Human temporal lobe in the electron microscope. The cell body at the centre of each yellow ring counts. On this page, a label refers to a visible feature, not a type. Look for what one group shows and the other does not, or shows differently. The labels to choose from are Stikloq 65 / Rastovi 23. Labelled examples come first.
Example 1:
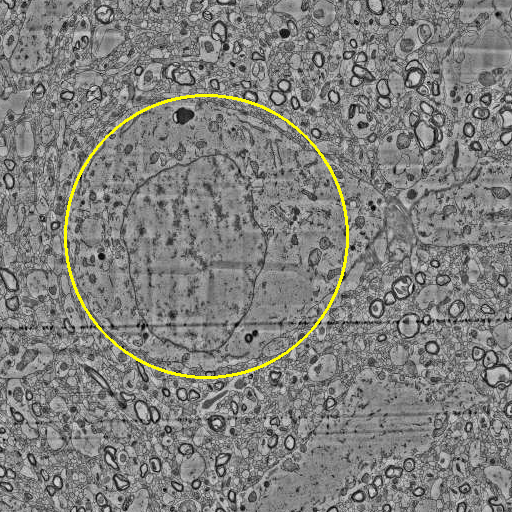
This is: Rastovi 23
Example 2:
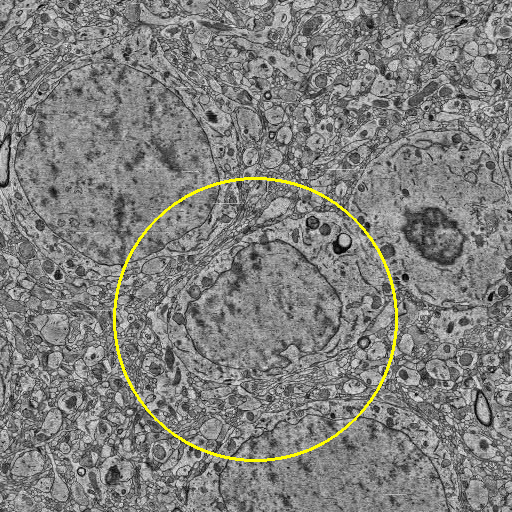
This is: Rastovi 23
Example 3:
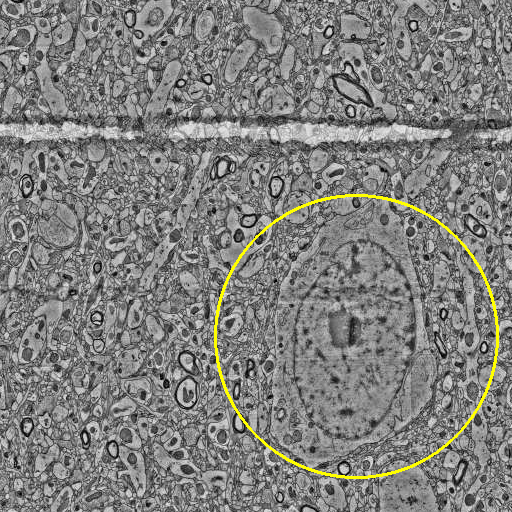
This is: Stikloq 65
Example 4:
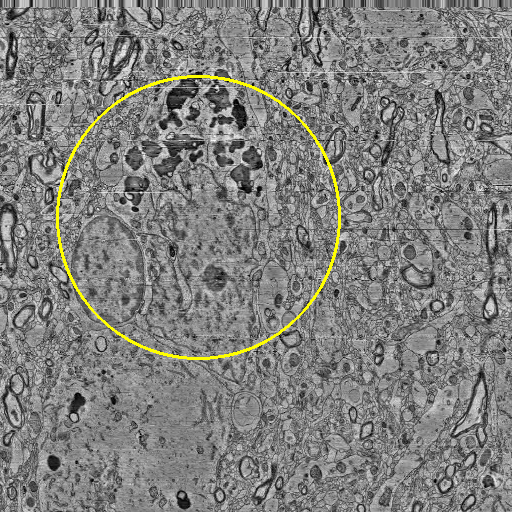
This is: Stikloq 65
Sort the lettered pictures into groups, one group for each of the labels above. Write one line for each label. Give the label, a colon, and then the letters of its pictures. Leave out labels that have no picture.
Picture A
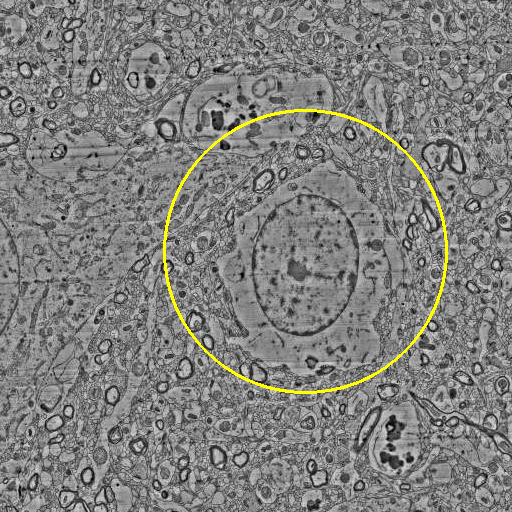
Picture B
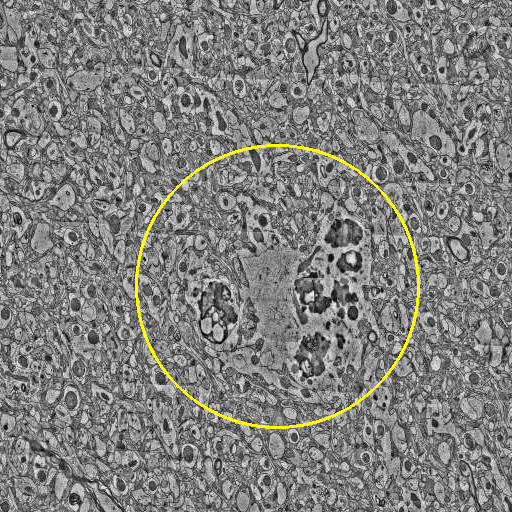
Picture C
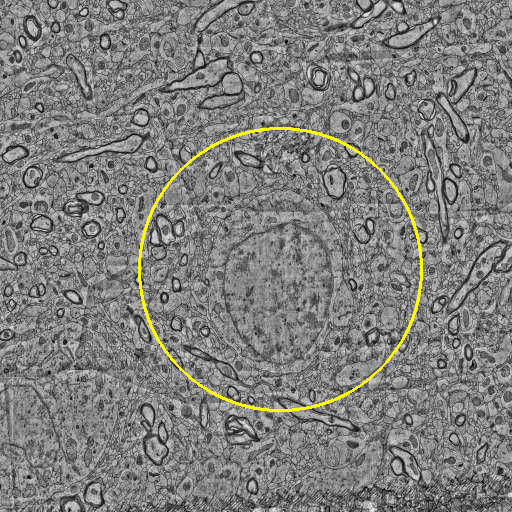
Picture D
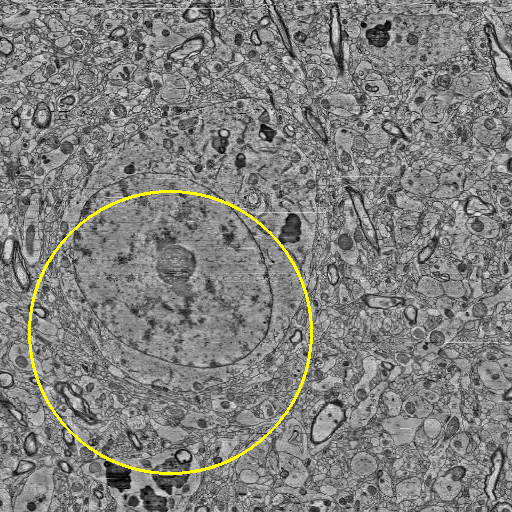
Stikloq 65: A, D
Rastovi 23: B, C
